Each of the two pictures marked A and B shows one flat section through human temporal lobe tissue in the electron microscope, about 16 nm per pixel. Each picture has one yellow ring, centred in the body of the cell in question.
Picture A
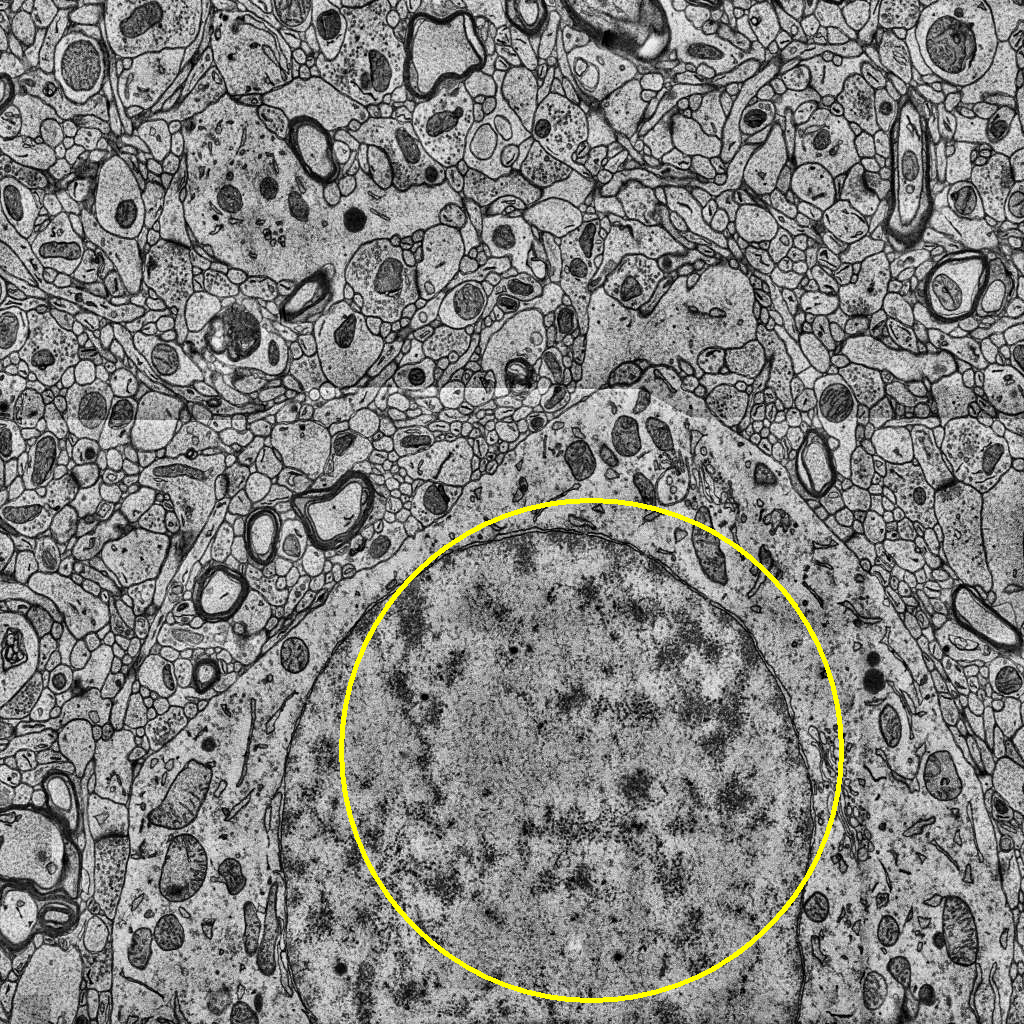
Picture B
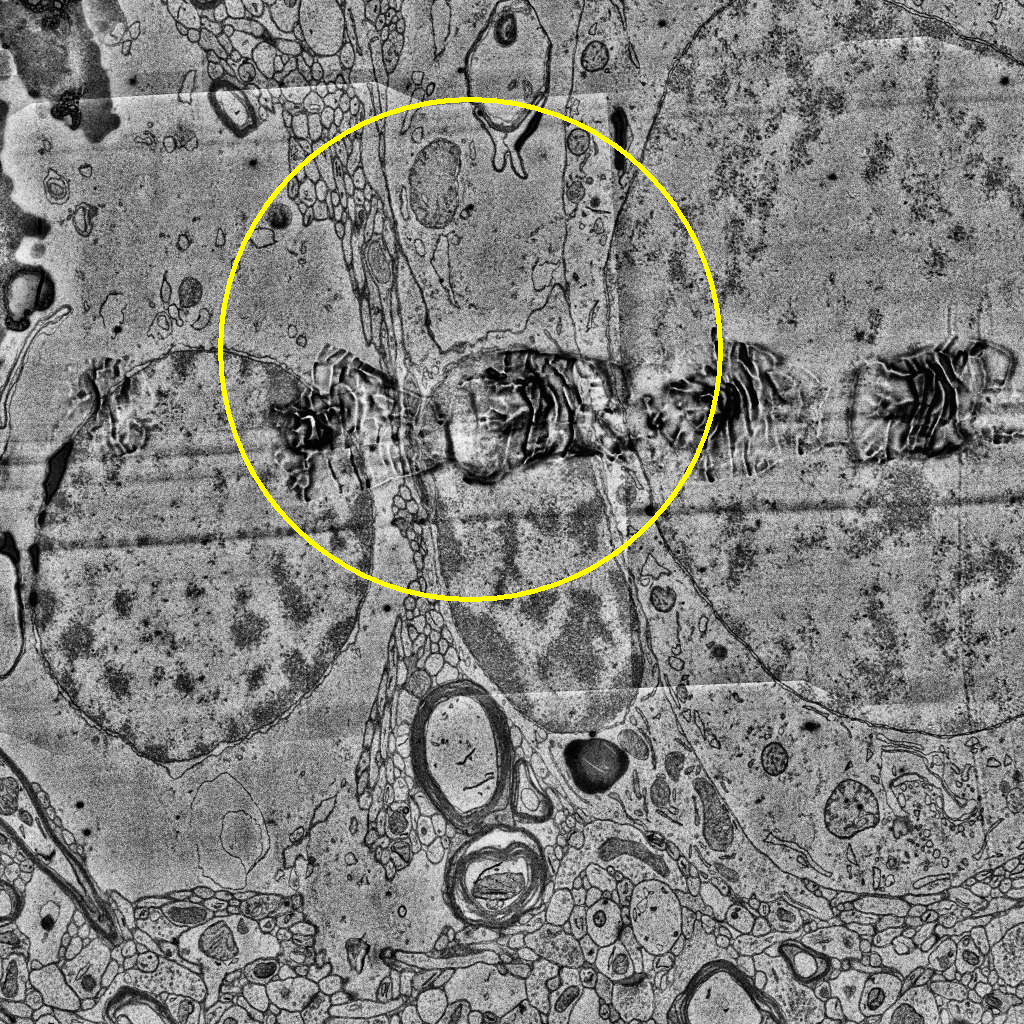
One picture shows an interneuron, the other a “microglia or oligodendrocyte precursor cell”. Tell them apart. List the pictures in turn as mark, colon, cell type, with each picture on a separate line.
A: interneuron
B: microglia or oligodendrocyte precursor cell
